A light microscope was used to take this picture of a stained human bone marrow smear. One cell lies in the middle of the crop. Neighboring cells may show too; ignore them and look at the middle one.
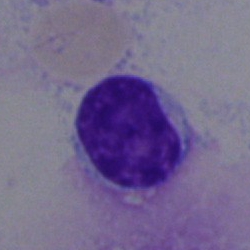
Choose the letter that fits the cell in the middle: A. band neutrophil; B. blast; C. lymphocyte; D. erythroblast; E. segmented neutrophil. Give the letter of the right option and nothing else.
C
